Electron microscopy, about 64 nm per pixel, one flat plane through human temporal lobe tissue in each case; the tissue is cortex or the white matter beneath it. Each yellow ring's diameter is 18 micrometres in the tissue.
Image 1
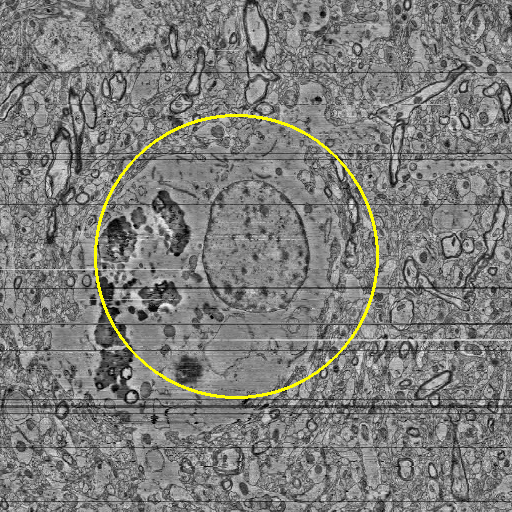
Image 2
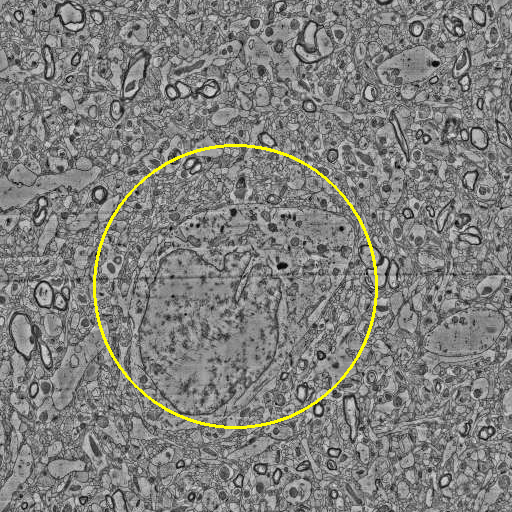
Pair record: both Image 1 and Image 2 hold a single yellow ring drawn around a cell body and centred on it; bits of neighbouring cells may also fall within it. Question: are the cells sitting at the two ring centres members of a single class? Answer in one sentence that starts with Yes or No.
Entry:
No, the ring-centre cells in Image 1 and Image 2 come from two classes.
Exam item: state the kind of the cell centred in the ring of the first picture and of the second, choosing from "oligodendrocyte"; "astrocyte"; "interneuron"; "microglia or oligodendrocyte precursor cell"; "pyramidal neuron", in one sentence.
The first picture shows an astrocyte at the ring centre and the second shows a pyramidal neuron.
